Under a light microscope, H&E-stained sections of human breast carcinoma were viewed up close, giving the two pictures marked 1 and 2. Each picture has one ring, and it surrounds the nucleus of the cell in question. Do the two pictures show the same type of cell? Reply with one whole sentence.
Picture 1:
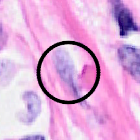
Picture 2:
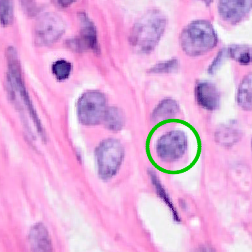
No; the cell in picture 1 is an endothelial cell, while the one in picture 2 is a carcinoma cell.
